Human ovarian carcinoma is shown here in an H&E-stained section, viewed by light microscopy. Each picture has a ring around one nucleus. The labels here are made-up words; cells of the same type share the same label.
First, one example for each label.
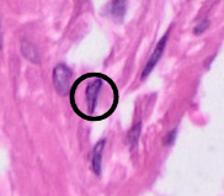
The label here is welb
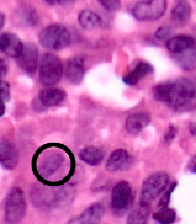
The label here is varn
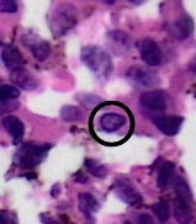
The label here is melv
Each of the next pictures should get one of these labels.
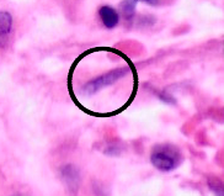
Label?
welb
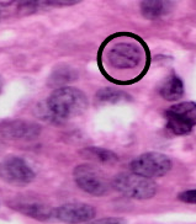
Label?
melv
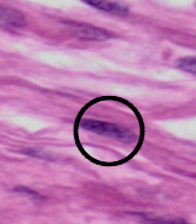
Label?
welb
